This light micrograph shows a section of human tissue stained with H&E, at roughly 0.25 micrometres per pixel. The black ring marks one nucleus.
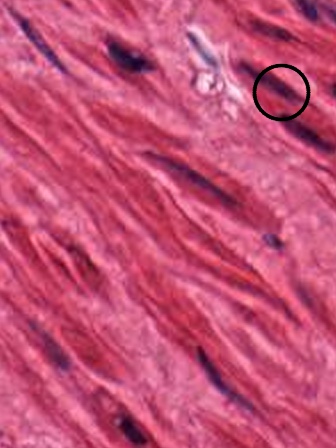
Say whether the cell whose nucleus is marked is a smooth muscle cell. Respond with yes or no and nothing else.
yes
